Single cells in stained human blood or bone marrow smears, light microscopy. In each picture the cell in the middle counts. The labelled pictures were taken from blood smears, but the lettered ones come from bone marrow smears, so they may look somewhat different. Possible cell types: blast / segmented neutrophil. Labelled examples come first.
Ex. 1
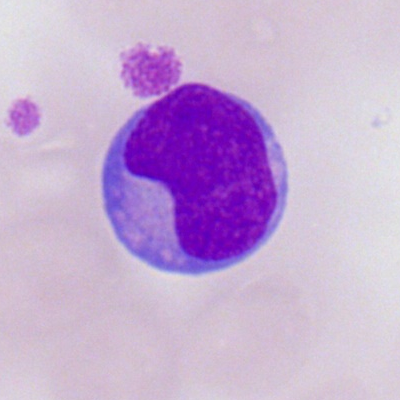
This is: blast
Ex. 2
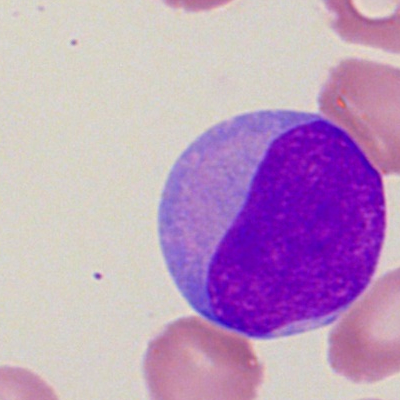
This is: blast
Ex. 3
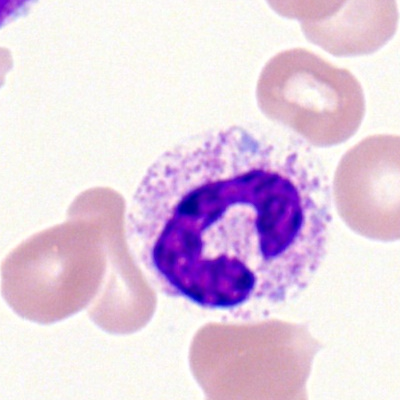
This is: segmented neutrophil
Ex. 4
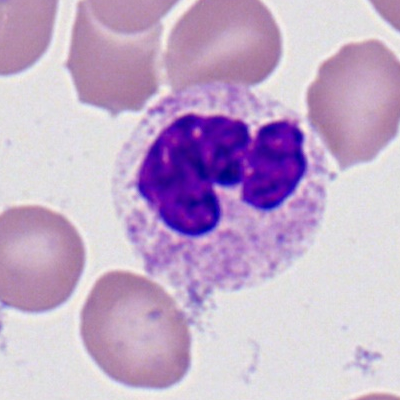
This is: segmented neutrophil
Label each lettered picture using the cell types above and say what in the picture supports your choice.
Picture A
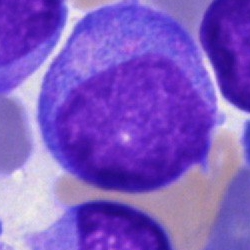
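Label: blast. The chromatin is finely stippled rather than coarsely clumped.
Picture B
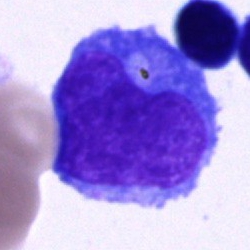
Label: blast. The chromatin is finely stippled and lacy rather than coarsely clumped.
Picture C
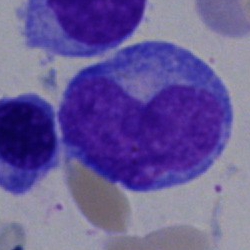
Label: blast. The chromatin is finely granular rather than coarsely clumped.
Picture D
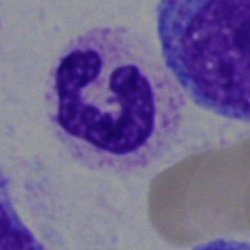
Label: segmented neutrophil. The chromatin is dark purple and coarsely clumped.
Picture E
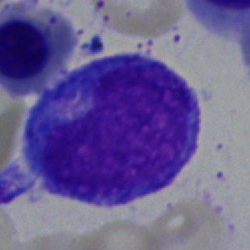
Label: blast. The chromatin is finely stippled rather than gathered into coarse dark clumps.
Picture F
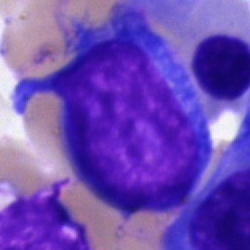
Label: blast. The cytoplasm is scant compared with the large nucleus.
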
